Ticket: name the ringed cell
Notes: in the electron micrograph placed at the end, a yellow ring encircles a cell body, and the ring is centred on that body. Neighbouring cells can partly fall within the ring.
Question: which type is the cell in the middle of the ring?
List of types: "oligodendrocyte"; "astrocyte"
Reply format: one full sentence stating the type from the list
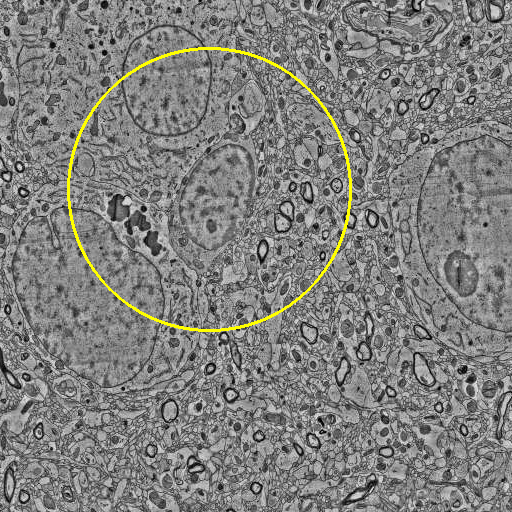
The cell sitting at the centre of the yellow ring is an oligodendrocyte.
